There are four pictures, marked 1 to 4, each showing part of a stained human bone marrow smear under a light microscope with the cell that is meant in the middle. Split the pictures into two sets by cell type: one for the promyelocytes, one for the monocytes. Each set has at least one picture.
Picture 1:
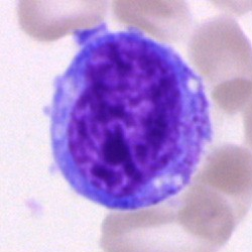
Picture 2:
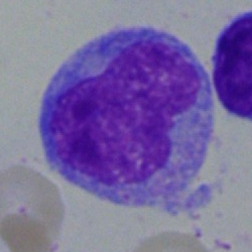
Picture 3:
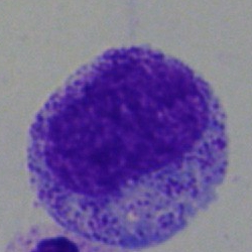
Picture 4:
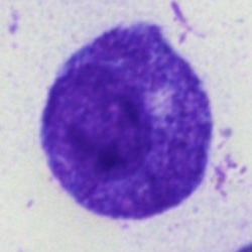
1: promyelocyte
2: monocyte
3: promyelocyte
4: promyelocyte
